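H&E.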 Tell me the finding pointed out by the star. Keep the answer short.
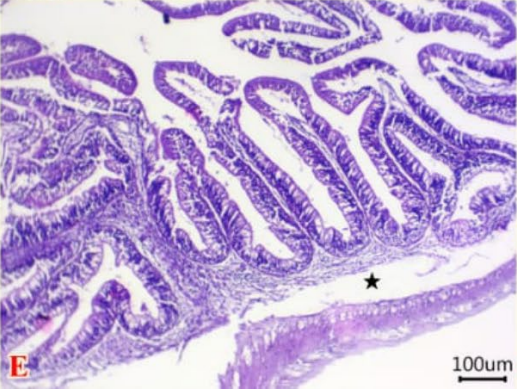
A: Edema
